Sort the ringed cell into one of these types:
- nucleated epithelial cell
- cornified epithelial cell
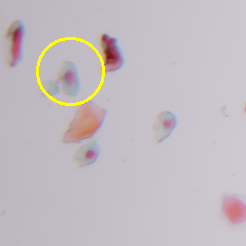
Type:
nucleated epithelial cell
